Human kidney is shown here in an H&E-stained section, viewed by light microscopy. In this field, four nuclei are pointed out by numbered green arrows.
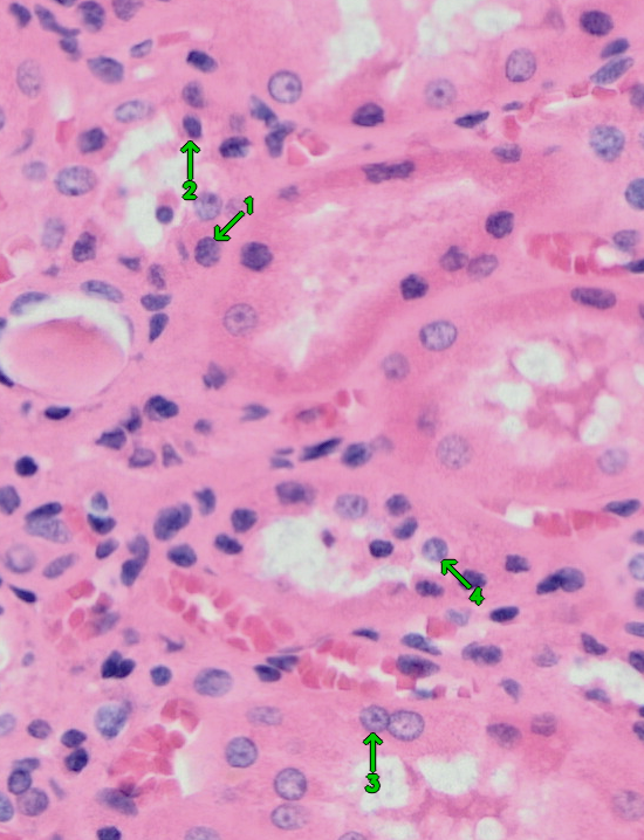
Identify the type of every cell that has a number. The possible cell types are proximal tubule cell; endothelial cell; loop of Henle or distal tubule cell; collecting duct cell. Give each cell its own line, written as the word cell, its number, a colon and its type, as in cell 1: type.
cell 1: loop of Henle or distal tubule cell
cell 2: loop of Henle or distal tubule cell
cell 3: proximal tubule cell
cell 4: loop of Henle or distal tubule cell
